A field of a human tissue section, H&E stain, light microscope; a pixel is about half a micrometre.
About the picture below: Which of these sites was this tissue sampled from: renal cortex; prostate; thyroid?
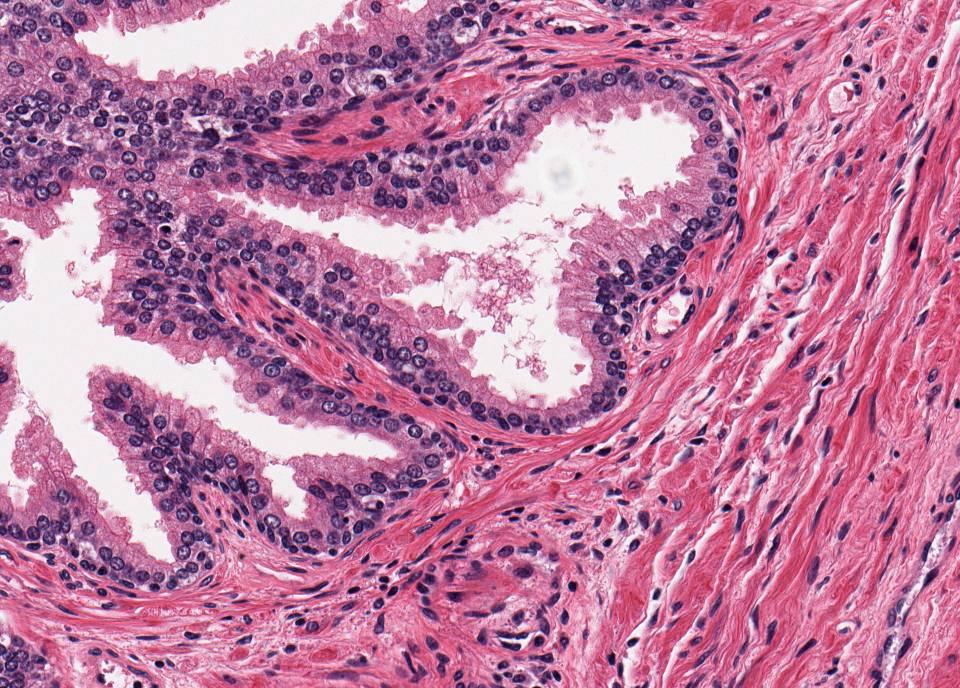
prostate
